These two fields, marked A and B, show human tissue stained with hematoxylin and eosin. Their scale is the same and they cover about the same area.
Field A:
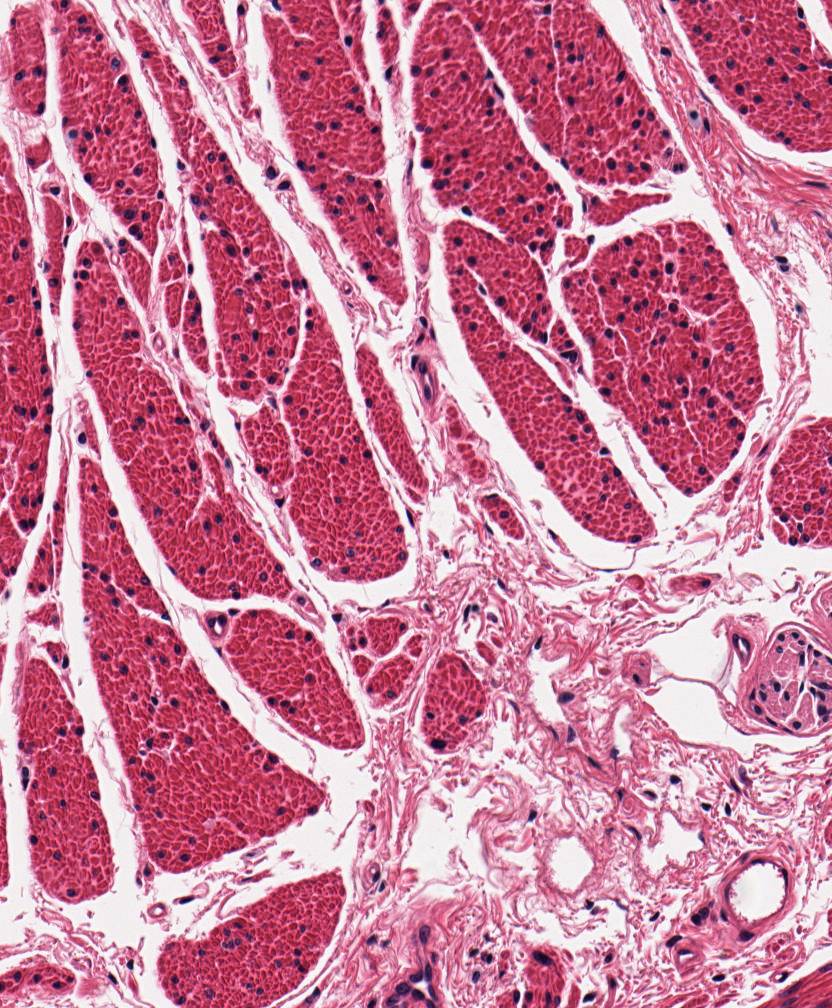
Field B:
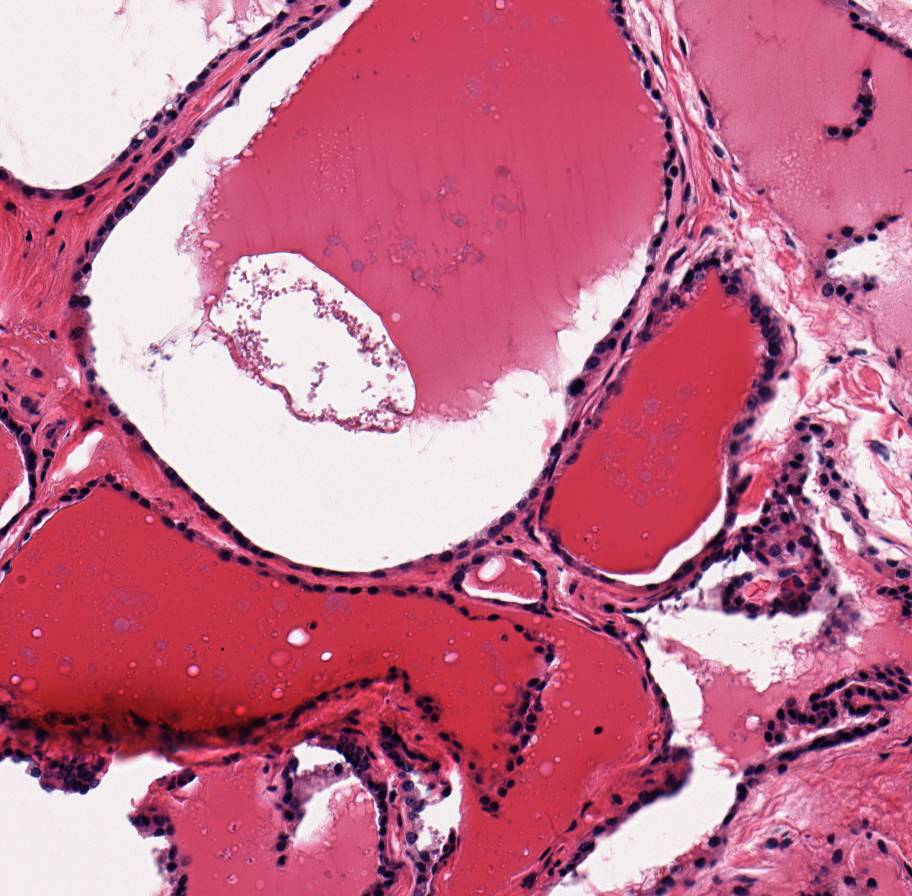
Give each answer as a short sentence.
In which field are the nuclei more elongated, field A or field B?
It is field B whose nuclei are the more elongated.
